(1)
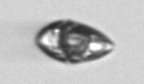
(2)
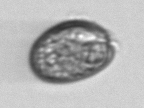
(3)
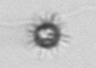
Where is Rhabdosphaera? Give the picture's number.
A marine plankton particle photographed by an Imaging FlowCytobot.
3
